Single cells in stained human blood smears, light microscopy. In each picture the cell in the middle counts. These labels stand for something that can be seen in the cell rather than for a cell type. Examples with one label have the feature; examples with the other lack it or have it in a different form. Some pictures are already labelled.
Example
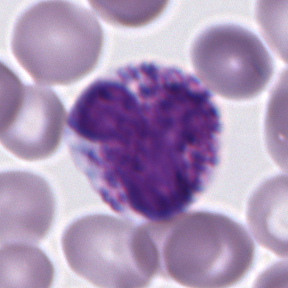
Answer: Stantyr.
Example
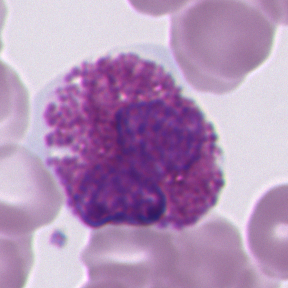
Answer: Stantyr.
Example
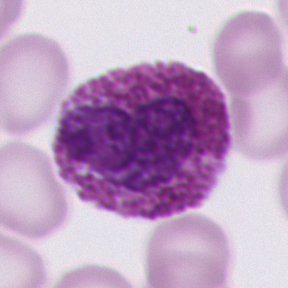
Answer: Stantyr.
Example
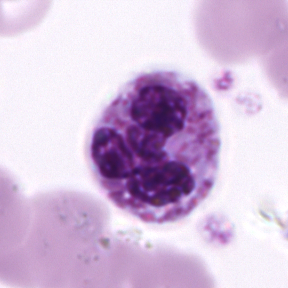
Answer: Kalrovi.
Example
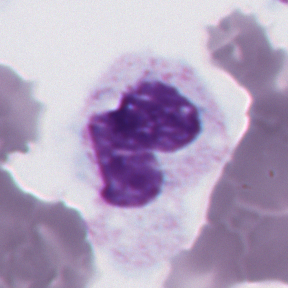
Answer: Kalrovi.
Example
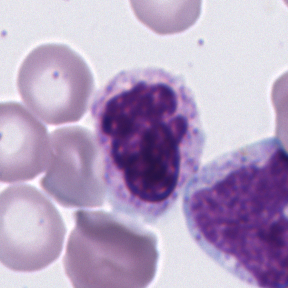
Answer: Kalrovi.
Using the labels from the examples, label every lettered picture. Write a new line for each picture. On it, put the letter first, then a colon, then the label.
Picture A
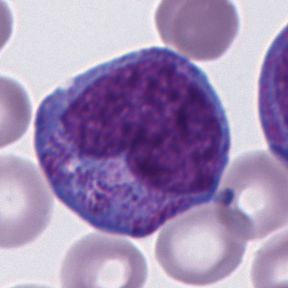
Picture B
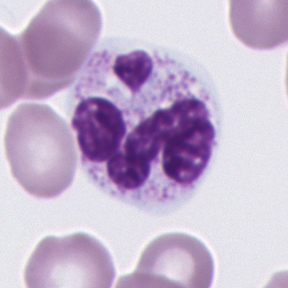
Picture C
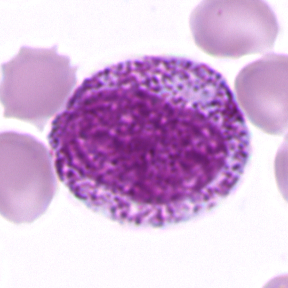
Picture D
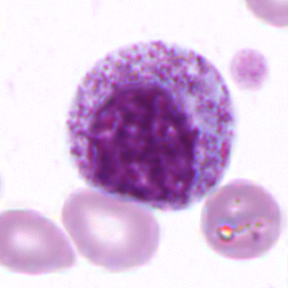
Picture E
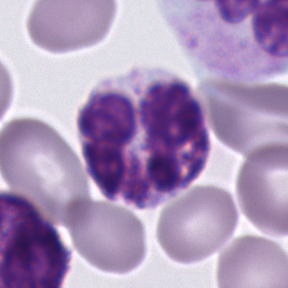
A: Kalrovi.
B: Kalrovi.
C: Stantyr.
D: Kalrovi.
E: Kalrovi.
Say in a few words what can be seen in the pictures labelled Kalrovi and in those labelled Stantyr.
In Kalrovi: fine or small granules. In Stantyr: coarse or large granules.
